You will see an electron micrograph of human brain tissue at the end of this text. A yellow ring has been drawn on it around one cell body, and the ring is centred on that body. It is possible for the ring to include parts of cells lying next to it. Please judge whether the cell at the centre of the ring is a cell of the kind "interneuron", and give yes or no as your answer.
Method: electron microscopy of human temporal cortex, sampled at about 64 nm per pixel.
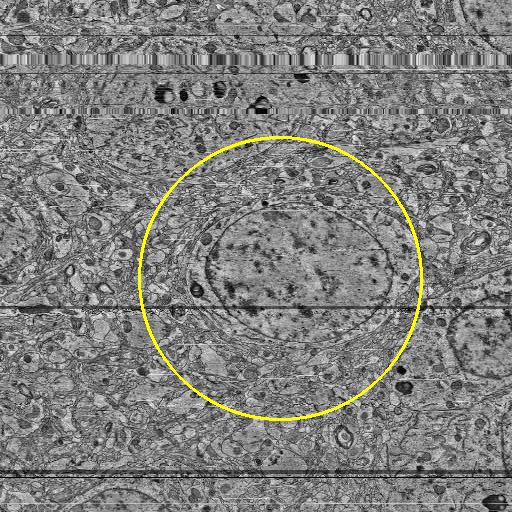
no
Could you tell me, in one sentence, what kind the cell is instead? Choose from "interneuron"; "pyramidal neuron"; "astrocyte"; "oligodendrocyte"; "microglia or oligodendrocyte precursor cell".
The ring's central cell is a pyramidal neuron instead.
